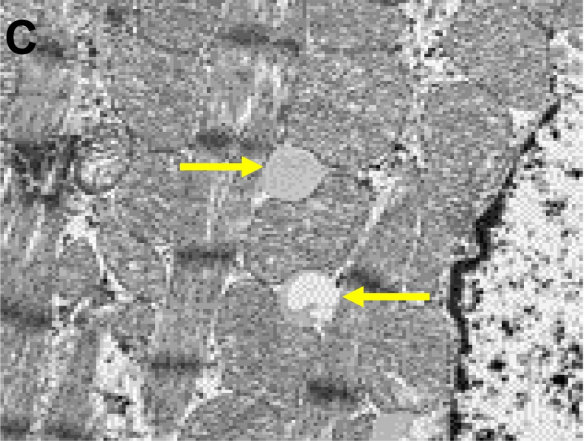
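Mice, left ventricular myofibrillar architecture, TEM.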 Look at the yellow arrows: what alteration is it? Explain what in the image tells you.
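Lipid accumulation. The droplets lie between mitochondria and myofibrils.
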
